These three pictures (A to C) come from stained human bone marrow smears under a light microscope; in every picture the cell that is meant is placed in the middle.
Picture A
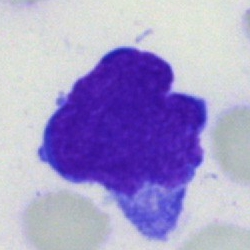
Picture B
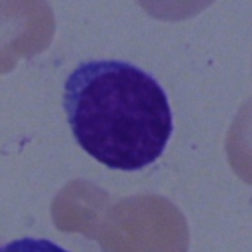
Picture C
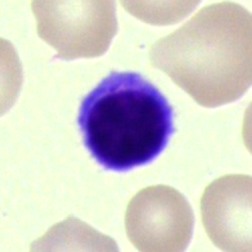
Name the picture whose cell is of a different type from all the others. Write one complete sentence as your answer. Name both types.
Picture A differs, because its cell is a blast and the rest are lymphocytes.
